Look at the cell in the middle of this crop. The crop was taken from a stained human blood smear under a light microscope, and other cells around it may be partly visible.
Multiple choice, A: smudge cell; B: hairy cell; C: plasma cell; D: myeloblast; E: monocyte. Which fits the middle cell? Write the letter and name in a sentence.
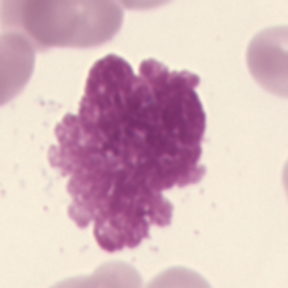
Option A is right, the centrally situated cell being a smudge cell.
